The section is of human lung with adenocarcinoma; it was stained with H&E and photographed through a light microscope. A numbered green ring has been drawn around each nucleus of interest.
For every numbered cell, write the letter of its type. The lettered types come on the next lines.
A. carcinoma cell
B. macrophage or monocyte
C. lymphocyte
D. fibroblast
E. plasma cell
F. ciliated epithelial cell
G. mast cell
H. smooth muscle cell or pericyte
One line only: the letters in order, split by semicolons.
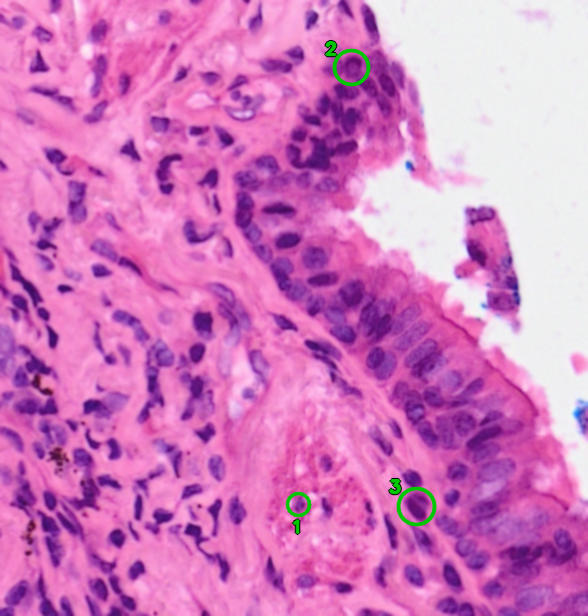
H; F; E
